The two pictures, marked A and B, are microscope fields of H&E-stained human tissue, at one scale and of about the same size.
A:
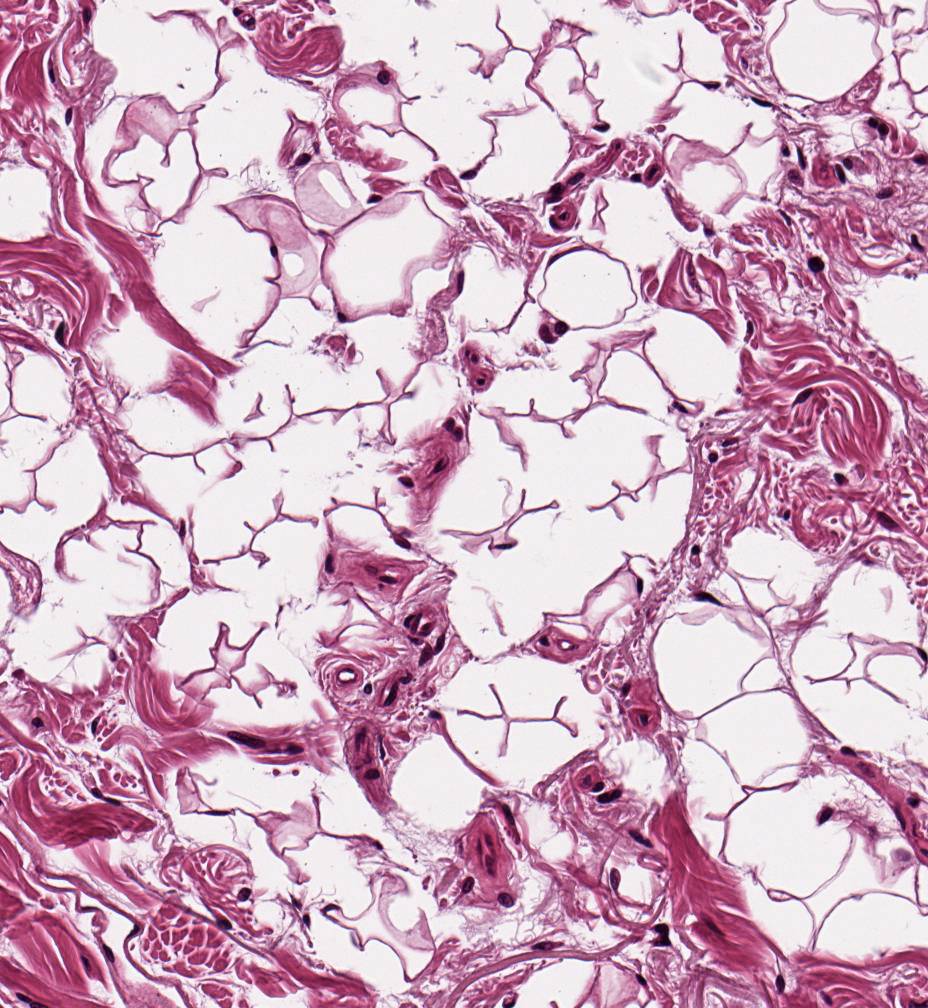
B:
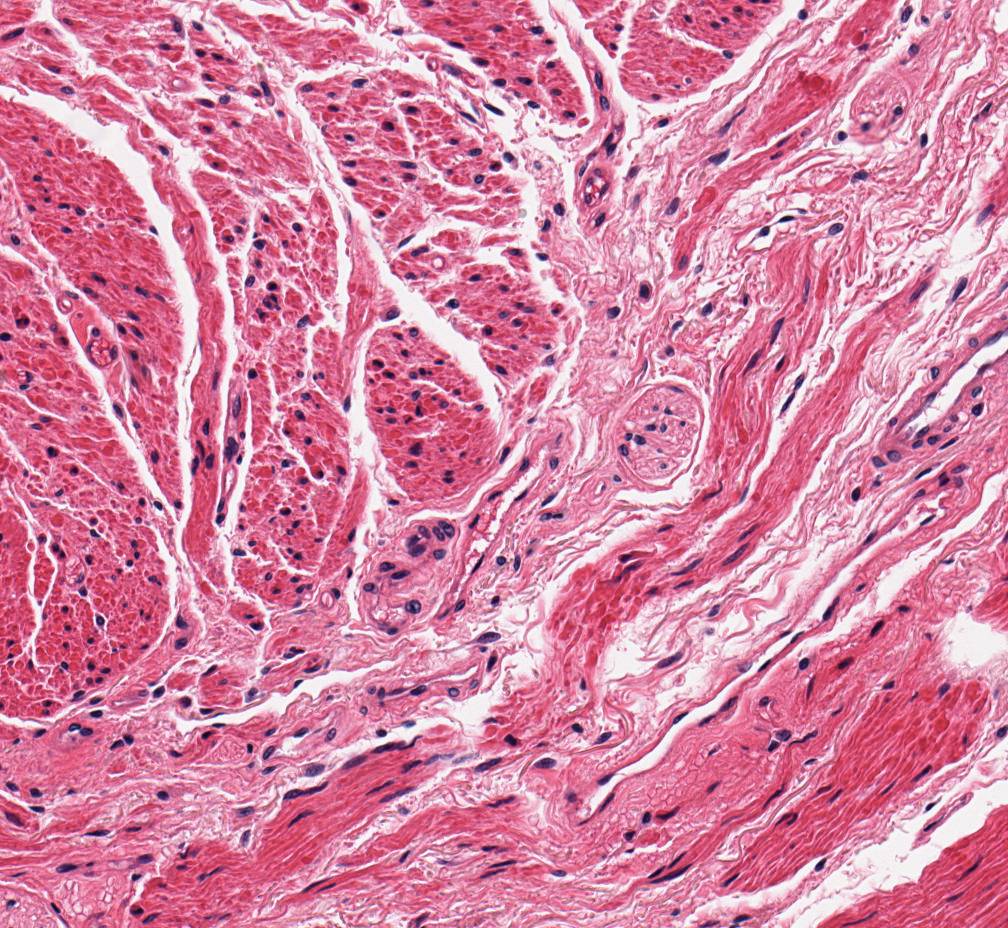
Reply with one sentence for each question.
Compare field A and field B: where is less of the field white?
Field B has less white space.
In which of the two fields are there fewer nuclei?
It is field A that has fewer nuclei in it.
